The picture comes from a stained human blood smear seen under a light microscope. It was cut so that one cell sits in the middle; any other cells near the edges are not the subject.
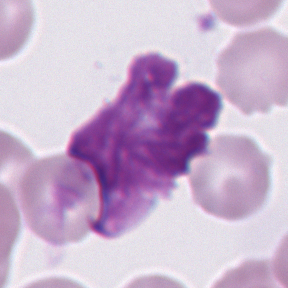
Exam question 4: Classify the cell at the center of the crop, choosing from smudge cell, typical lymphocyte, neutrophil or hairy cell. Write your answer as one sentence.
Classification of the middle cell gives a smudge cell.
